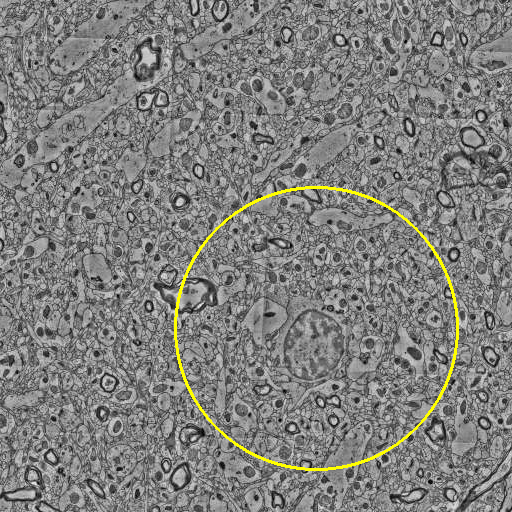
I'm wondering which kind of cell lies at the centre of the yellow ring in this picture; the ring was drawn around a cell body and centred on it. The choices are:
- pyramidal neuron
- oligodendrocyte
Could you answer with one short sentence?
At the centre of the ring lies an oligodendrocyte.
